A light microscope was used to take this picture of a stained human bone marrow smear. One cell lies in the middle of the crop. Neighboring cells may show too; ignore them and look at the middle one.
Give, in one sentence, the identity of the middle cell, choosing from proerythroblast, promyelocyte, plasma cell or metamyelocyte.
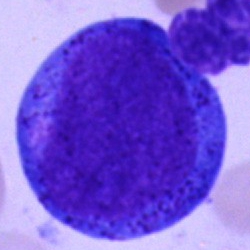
Among the cells in view, the one in the middle is a promyelocyte.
